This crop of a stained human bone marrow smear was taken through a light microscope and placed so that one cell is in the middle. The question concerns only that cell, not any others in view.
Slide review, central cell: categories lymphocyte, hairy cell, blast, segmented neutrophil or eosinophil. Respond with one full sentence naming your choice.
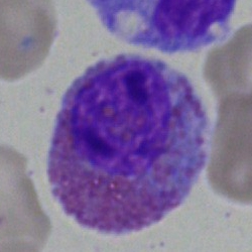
The cell marked by its central position in the crop is an eosinophil.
